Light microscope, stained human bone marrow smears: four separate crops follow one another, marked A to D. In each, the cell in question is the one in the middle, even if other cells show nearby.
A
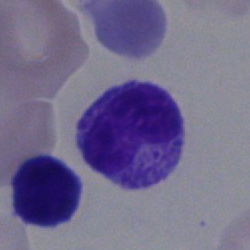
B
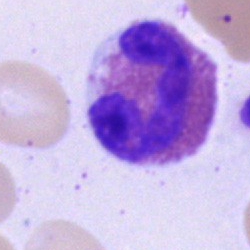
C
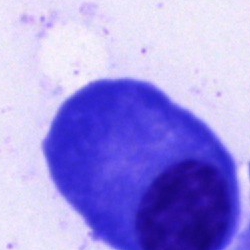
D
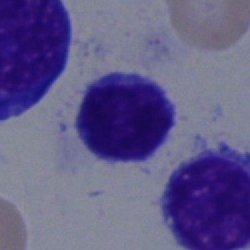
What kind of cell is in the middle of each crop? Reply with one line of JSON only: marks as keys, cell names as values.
{"A": "metamyelocyte", "B": "eosinophil", "C": "plasma cell", "D": "lymphocyte"}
